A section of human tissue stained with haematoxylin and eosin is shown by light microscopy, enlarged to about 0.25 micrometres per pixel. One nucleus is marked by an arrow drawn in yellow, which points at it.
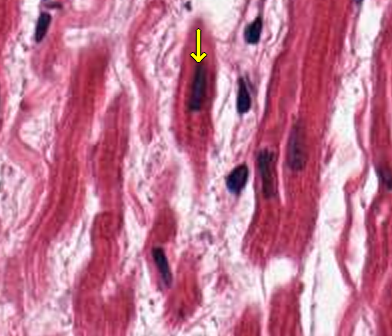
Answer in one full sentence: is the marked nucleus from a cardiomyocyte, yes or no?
Yes, the cell that holds the marked nucleus is a cardiomyocyte.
